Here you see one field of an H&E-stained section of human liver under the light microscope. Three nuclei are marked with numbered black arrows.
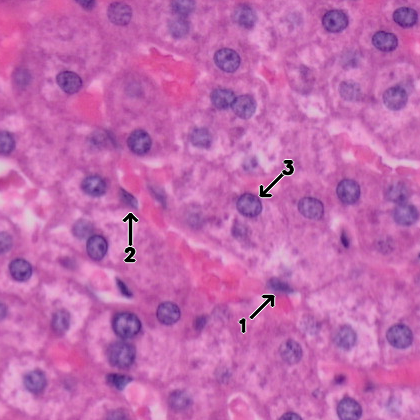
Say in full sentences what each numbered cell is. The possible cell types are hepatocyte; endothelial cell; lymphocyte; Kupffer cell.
Cell 1 is an endothelial cell, cell 2 is an endothelial cell and cell 3 is a hepatocyte.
